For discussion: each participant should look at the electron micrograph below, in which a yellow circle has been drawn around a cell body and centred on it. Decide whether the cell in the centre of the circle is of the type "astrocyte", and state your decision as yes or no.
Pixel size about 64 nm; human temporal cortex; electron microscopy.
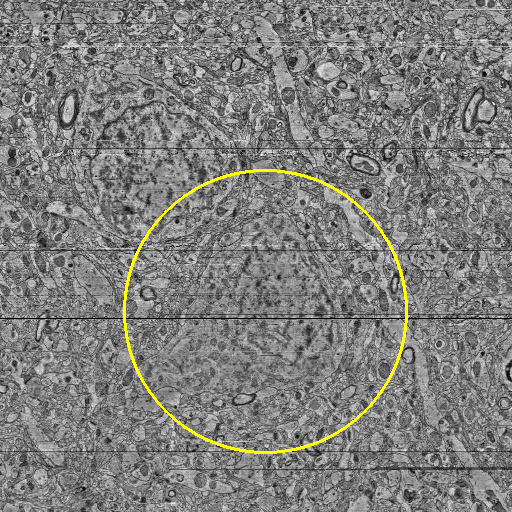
no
